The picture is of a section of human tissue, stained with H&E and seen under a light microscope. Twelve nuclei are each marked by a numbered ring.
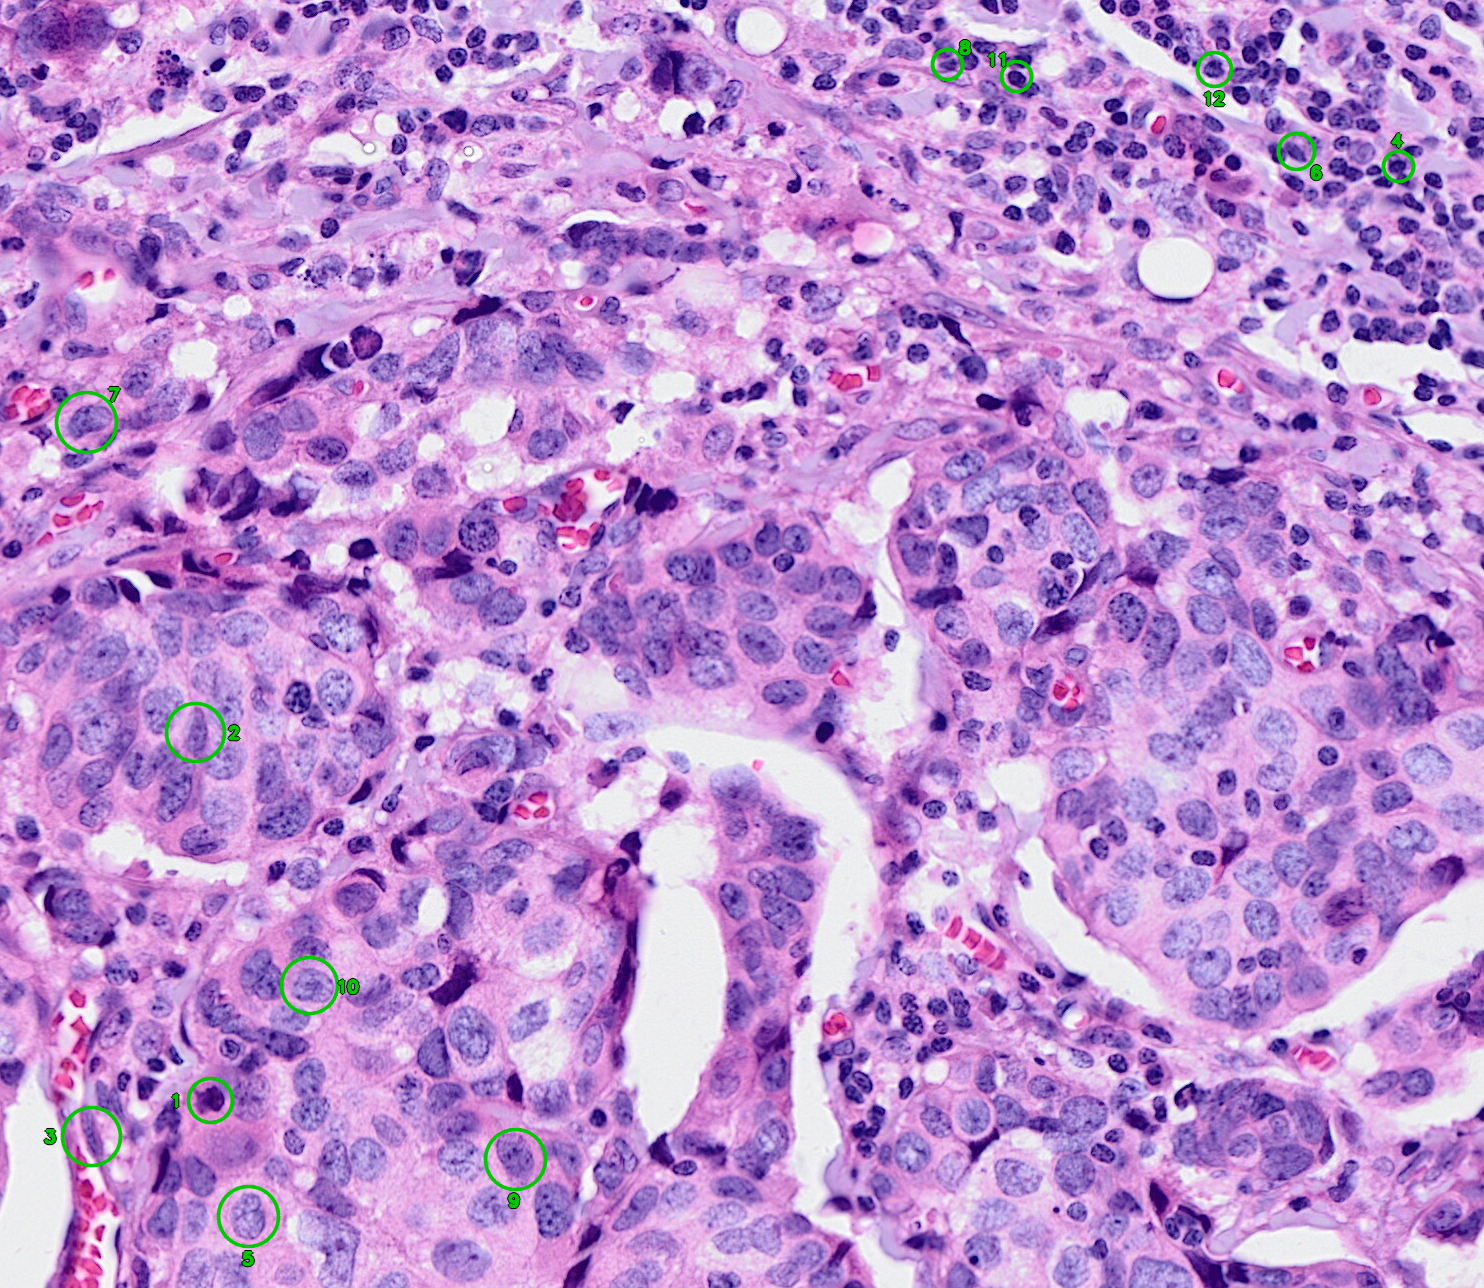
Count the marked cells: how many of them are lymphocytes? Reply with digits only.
5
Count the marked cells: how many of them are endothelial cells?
1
